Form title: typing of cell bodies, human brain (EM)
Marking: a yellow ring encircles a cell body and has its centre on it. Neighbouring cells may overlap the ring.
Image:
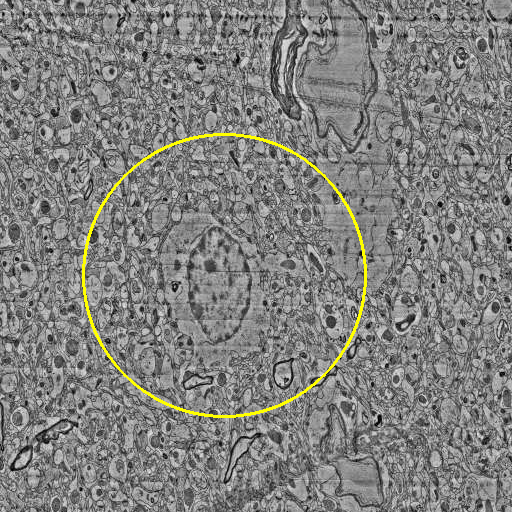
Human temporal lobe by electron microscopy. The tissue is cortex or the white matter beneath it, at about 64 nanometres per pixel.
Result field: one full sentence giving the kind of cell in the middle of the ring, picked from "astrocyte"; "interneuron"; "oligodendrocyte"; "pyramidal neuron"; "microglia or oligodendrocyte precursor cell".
In the picture, the ring is centred on an astrocyte, whose cell body it encircles.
